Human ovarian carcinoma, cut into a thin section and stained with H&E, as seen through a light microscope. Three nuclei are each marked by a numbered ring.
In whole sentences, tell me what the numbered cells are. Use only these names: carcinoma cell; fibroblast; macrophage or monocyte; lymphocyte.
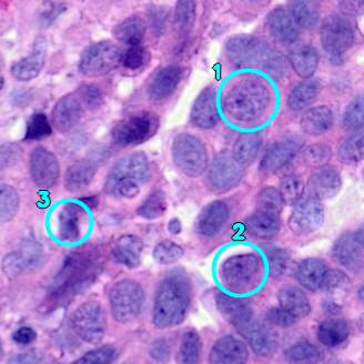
Cell 1 is a carcinoma cell, cell 2 is a carcinoma cell and cell 3 is a macrophage or monocyte.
